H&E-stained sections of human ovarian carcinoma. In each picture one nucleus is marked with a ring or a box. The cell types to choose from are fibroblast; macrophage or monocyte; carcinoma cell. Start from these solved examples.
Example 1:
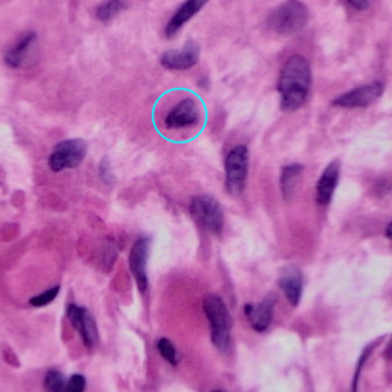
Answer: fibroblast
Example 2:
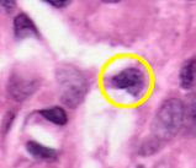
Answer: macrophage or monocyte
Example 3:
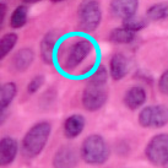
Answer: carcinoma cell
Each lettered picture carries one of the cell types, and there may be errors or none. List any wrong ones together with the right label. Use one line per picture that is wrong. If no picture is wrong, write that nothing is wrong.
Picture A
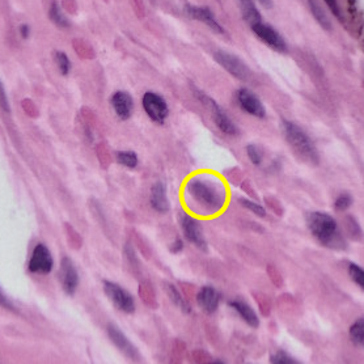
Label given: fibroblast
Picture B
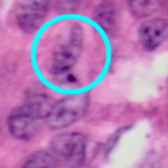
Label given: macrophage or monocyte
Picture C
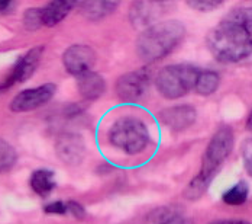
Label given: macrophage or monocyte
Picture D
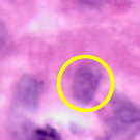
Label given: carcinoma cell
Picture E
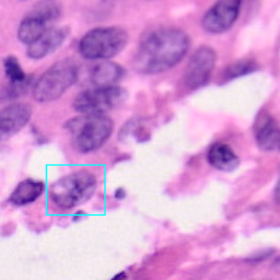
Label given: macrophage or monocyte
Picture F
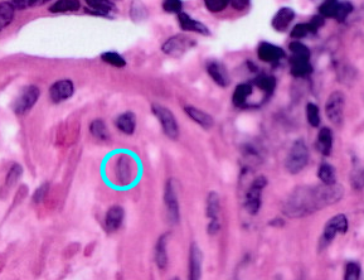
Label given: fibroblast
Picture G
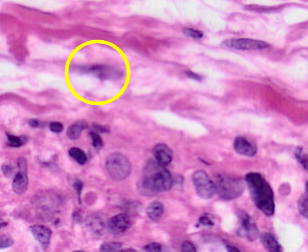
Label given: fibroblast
D: not carcinoma cell but fibroblast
